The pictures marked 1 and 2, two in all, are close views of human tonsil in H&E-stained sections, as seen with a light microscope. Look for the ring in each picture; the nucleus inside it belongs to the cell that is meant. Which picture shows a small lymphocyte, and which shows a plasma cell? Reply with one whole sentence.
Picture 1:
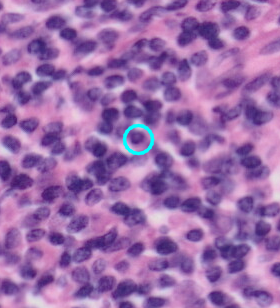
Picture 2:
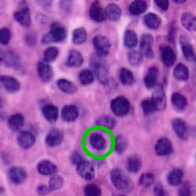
In picture 1 the cell is a small lymphocyte; in picture 2, a plasma cell.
